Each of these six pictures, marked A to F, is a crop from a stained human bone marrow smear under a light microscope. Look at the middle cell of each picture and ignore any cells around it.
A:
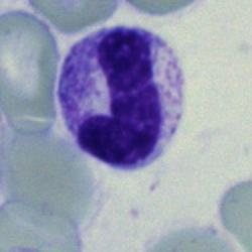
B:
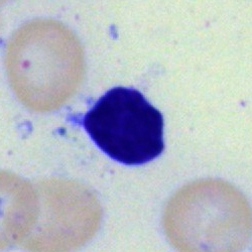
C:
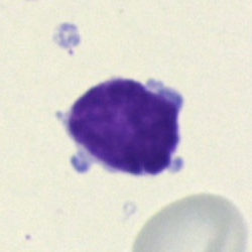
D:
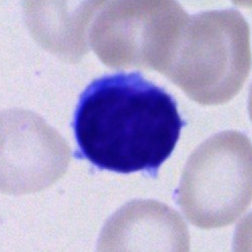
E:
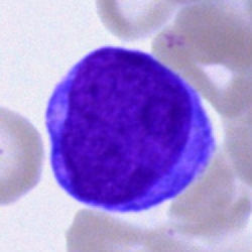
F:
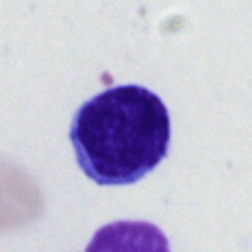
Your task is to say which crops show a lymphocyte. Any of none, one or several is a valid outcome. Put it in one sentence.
In this set, crops B, C, D and F show lymphocytes.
